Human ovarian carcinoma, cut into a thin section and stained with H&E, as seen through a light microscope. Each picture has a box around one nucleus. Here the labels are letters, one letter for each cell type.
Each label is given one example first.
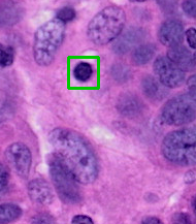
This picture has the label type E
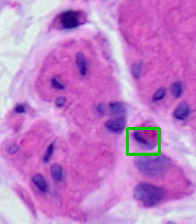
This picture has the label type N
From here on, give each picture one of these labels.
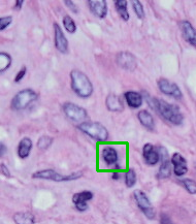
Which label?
type E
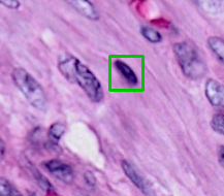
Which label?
type E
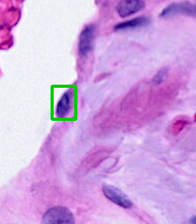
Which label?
type N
